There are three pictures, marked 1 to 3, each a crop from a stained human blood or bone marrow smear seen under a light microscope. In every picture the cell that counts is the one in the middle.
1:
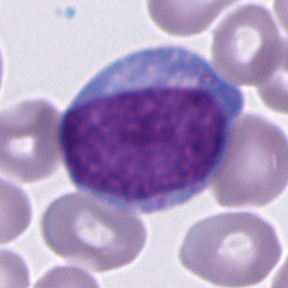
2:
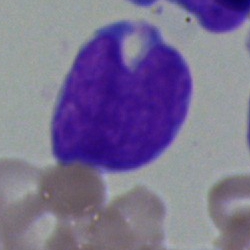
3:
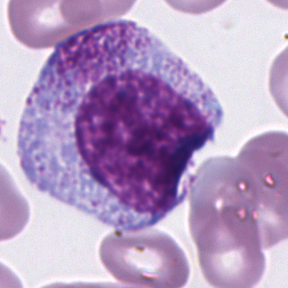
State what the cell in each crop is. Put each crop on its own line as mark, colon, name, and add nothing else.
1: promyelocyte
2: blast
3: promyelocyte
